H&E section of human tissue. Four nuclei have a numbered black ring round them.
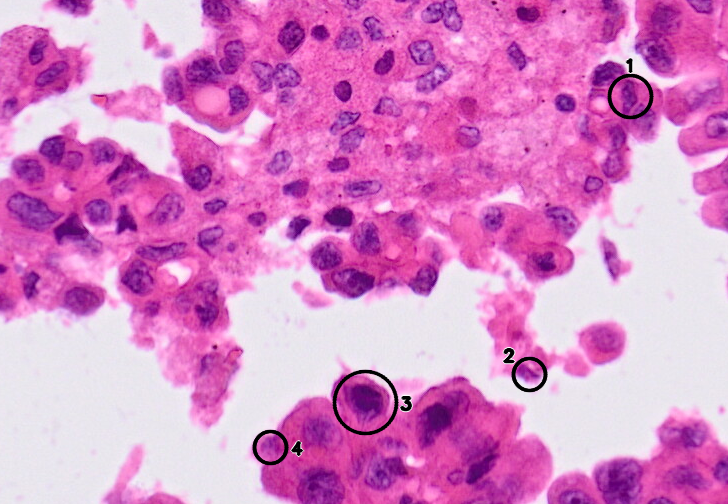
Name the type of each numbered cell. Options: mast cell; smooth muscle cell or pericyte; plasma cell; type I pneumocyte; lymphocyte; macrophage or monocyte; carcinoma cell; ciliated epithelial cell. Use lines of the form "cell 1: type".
cell 1: carcinoma cell
cell 2: macrophage or monocyte
cell 3: carcinoma cell
cell 4: carcinoma cell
